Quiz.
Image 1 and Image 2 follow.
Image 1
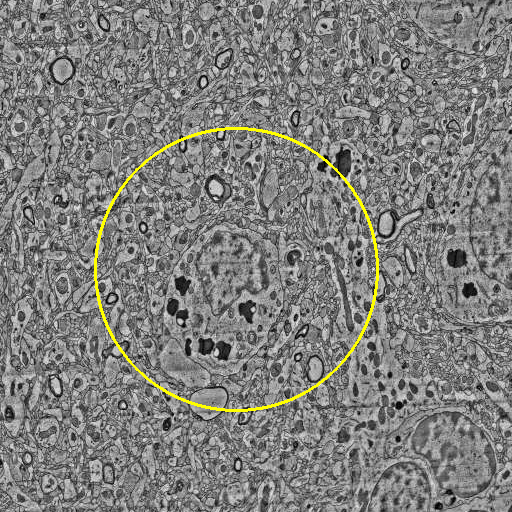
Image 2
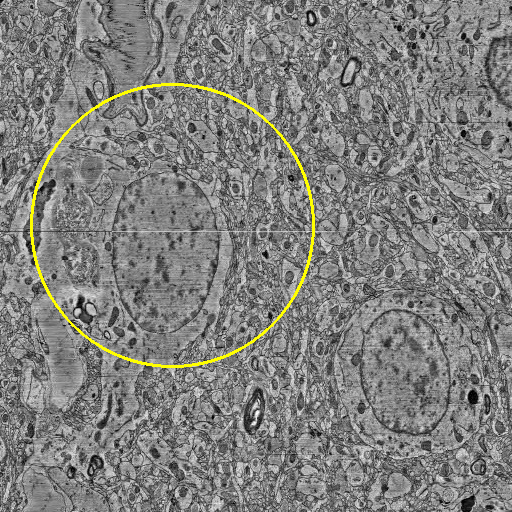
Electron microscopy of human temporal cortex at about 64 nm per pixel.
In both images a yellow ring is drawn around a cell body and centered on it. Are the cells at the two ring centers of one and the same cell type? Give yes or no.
no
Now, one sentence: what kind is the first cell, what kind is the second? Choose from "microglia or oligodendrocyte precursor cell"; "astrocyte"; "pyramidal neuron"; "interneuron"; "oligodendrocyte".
The first picture has an interneuron at its ring centre, and the second has an astrocyte.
